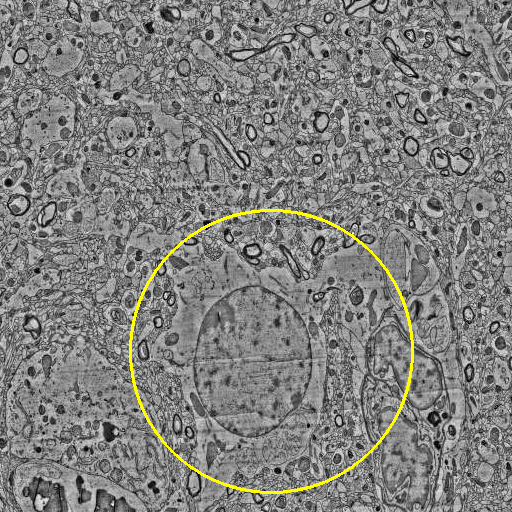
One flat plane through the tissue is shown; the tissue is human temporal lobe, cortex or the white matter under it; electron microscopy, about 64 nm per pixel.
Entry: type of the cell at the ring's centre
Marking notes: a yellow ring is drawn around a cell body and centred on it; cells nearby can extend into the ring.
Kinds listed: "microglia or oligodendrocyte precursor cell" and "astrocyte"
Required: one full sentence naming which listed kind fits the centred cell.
My entry names an astrocyte as the cell whose body the yellow ring centres on.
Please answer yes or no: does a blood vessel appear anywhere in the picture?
Yes.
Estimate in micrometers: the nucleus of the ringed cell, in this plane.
About 10 by 8 micrometers, in this plane.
